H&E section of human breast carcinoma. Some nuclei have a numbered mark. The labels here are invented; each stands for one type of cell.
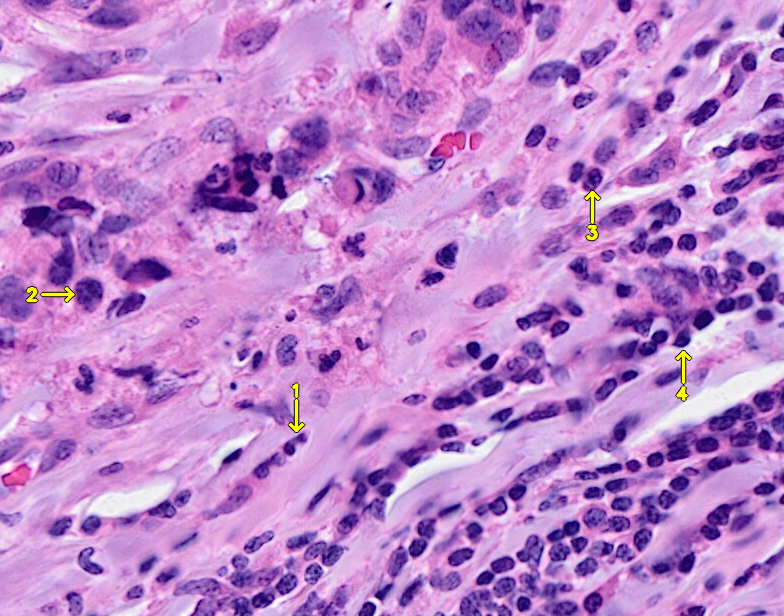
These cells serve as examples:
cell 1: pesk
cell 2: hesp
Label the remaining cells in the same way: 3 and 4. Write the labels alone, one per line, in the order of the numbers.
pesk
pesk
